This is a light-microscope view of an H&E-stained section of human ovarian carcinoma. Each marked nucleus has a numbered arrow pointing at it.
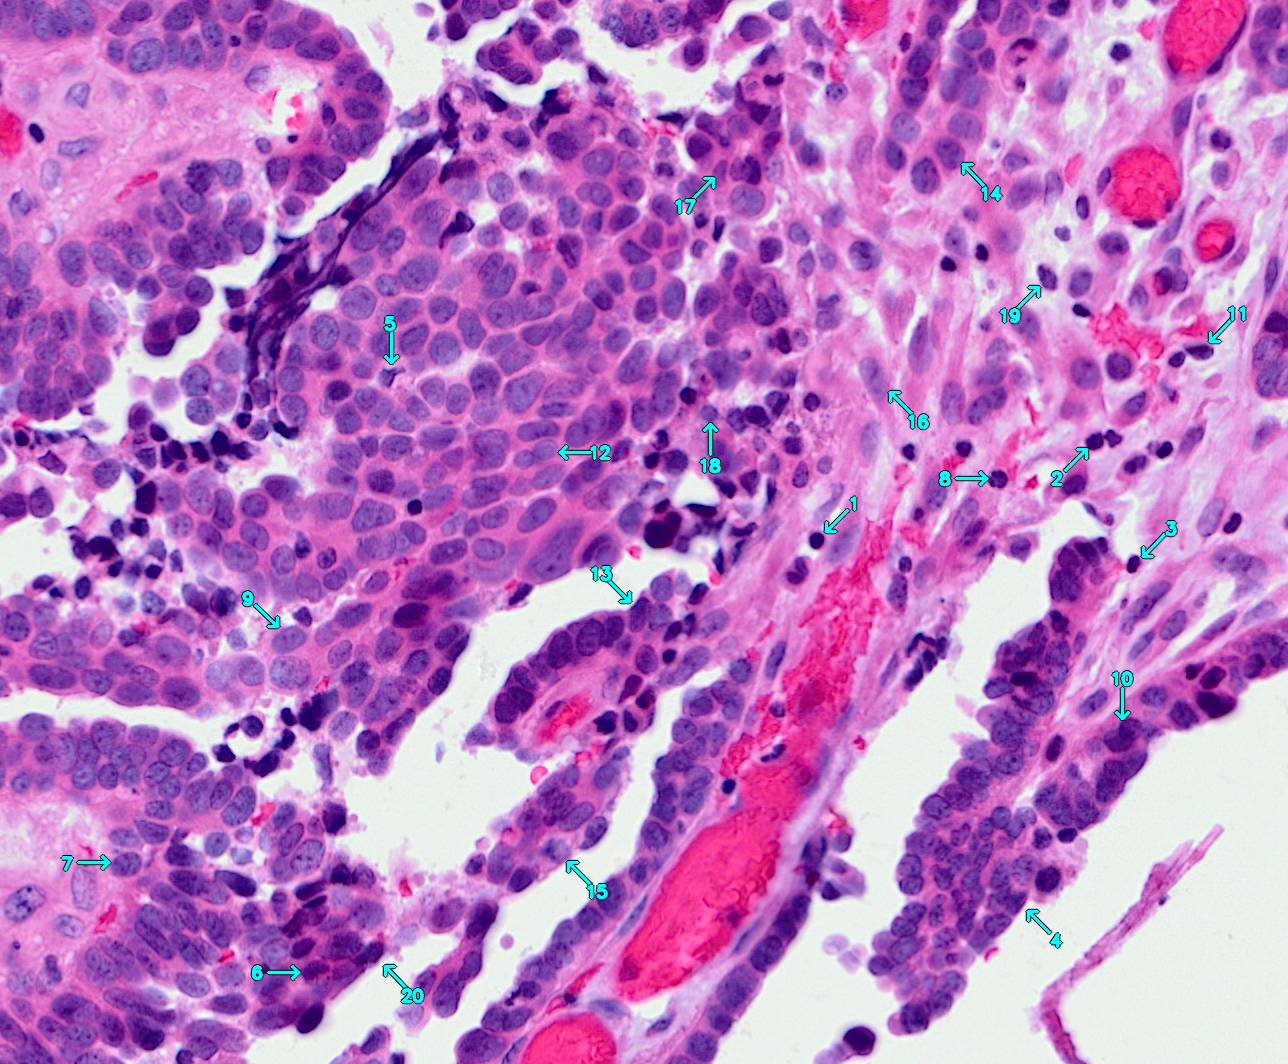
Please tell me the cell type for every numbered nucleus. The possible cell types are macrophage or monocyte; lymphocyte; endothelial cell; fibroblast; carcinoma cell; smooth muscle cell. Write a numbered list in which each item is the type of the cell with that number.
1. lymphocyte
2. lymphocyte
3. lymphocyte
4. carcinoma cell
5. macrophage or monocyte
6. carcinoma cell
7. carcinoma cell
8. lymphocyte
9. carcinoma cell
10. carcinoma cell
11. lymphocyte
12. carcinoma cell
13. carcinoma cell
14. carcinoma cell
15. macrophage or monocyte
16. fibroblast
17. carcinoma cell
18. macrophage or monocyte
19. lymphocyte
20. carcinoma cell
